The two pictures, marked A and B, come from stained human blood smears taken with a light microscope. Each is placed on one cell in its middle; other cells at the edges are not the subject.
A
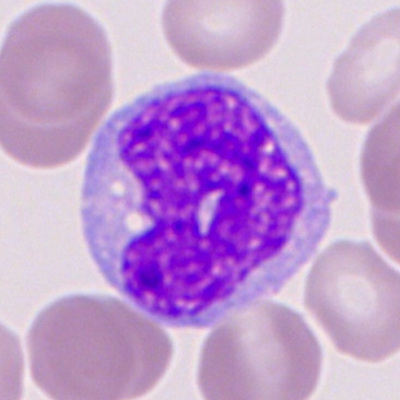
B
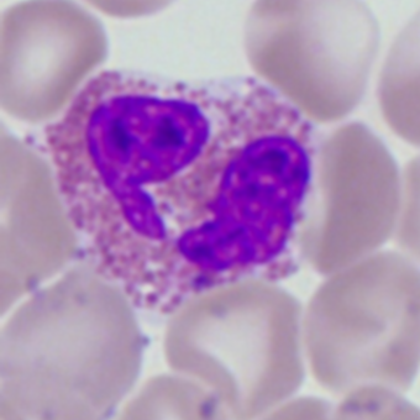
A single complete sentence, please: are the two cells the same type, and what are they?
No, it is a monocyte that crop A shows, and an eosinophil that crop B shows.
